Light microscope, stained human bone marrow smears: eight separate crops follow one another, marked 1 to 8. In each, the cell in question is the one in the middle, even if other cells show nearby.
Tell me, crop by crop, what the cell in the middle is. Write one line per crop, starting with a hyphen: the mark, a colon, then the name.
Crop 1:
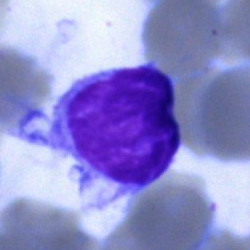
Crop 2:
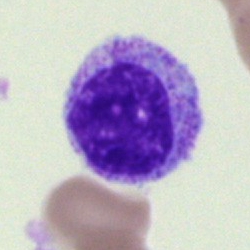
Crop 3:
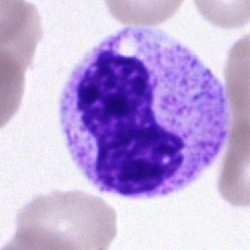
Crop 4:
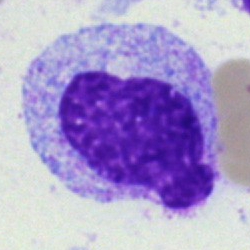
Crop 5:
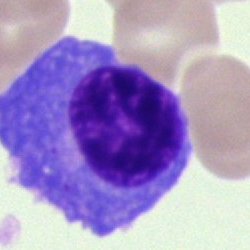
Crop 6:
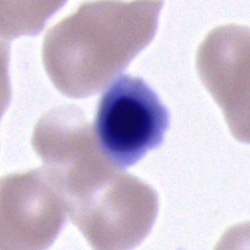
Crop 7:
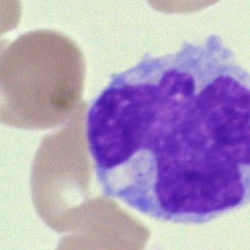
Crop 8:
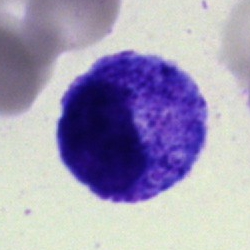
- 1: hairy cell
- 2: myelocyte
- 3: band neutrophil
- 4: myelocyte
- 5: plasma cell
- 6: erythroblast
- 7: monocyte
- 8: promyelocyte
